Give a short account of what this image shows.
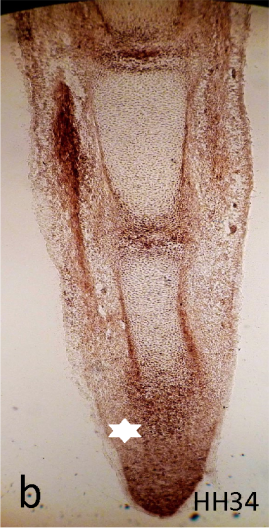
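This is a single developing digit seen from the side, with pale cartilage elements separated by transversely stained joint regions. The brown staining increases toward the free end of the digit and is most intense at its distal tip. A darker stripe runs along one side of the digit near its upper part.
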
